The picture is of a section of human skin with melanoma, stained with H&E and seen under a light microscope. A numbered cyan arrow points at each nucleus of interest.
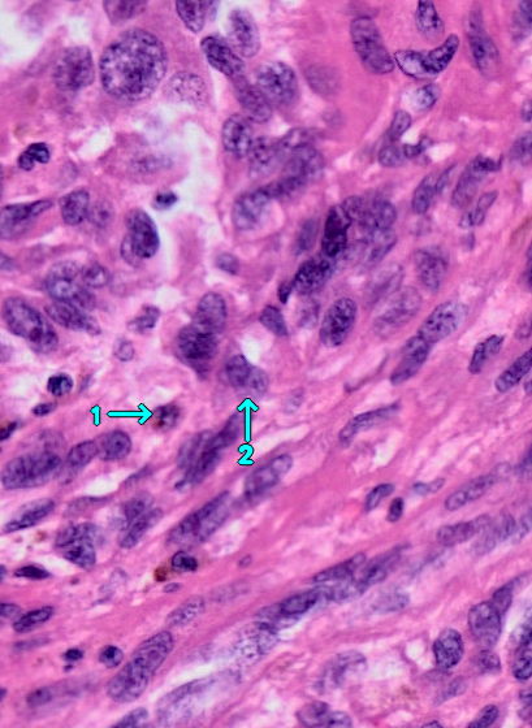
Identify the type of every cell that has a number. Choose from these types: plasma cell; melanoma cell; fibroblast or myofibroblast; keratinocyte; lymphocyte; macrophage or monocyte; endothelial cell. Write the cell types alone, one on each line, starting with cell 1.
macrophage or monocyte
melanoma cell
